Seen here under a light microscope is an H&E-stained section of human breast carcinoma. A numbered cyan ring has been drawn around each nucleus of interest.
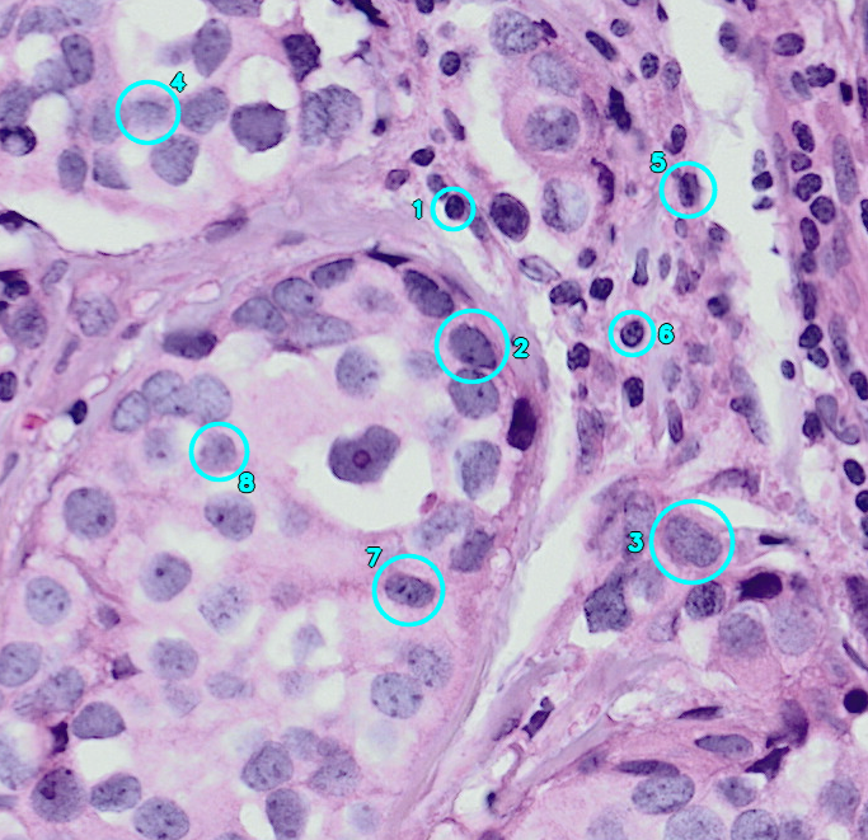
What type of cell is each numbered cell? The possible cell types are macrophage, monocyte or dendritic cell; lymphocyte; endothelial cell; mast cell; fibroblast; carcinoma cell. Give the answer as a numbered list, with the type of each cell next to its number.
1. lymphocyte
2. carcinoma cell
3. carcinoma cell
4. carcinoma cell
5. lymphocyte
6. lymphocyte
7. carcinoma cell
8. carcinoma cell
